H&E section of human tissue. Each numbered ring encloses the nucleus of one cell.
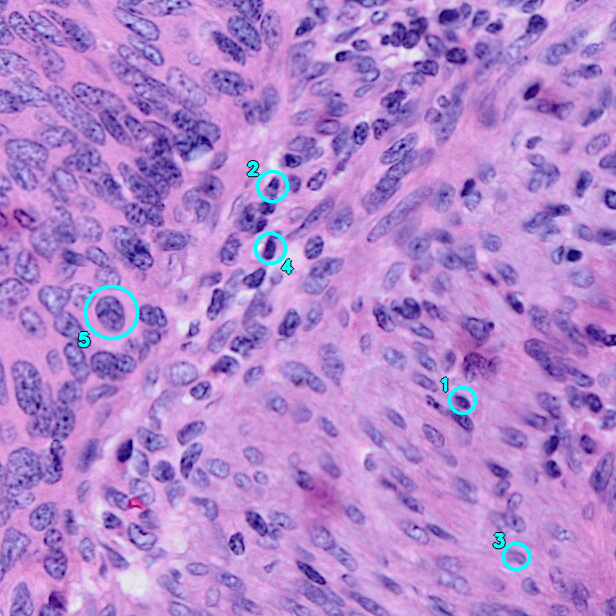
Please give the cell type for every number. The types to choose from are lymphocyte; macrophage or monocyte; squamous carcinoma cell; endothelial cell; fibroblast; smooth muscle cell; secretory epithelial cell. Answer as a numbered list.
1. lymphocyte
2. lymphocyte
3. smooth muscle cell
4. lymphocyte
5. squamous carcinoma cell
